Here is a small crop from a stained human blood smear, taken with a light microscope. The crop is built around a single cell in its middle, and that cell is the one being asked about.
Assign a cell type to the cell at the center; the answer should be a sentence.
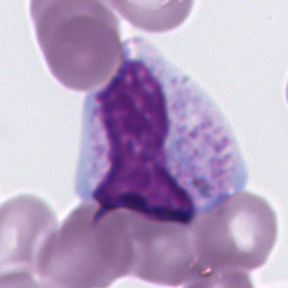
In the crop, the cell of interest at the centre is a band neutrophil.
